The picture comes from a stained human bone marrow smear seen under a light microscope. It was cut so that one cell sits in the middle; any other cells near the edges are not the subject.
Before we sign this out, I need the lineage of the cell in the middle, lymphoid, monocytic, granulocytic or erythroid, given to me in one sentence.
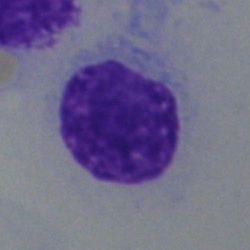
The centered cell here is of lymphoid lineage.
